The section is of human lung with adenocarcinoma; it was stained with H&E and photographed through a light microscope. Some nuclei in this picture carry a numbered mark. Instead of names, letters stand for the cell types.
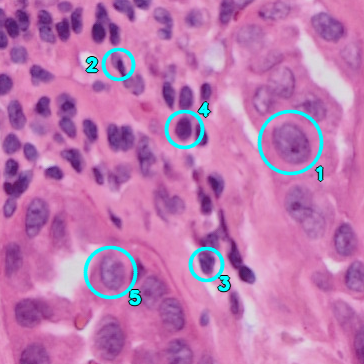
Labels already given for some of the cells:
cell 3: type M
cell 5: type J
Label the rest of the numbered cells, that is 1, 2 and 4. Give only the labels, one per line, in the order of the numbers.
type J
type M
type M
